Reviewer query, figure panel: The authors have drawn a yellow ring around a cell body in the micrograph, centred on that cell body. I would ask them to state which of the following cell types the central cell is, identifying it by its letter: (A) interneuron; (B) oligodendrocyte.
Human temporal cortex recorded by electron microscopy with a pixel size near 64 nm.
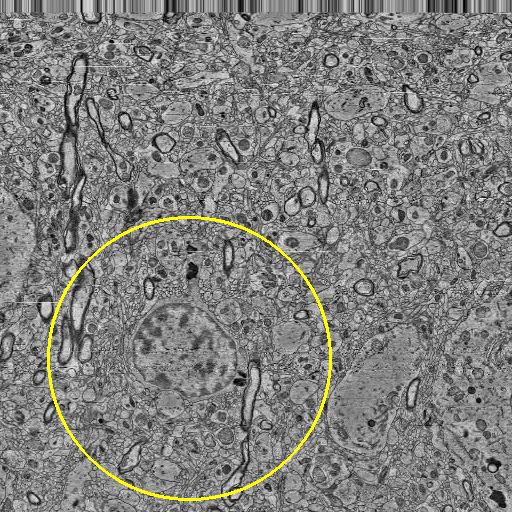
B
